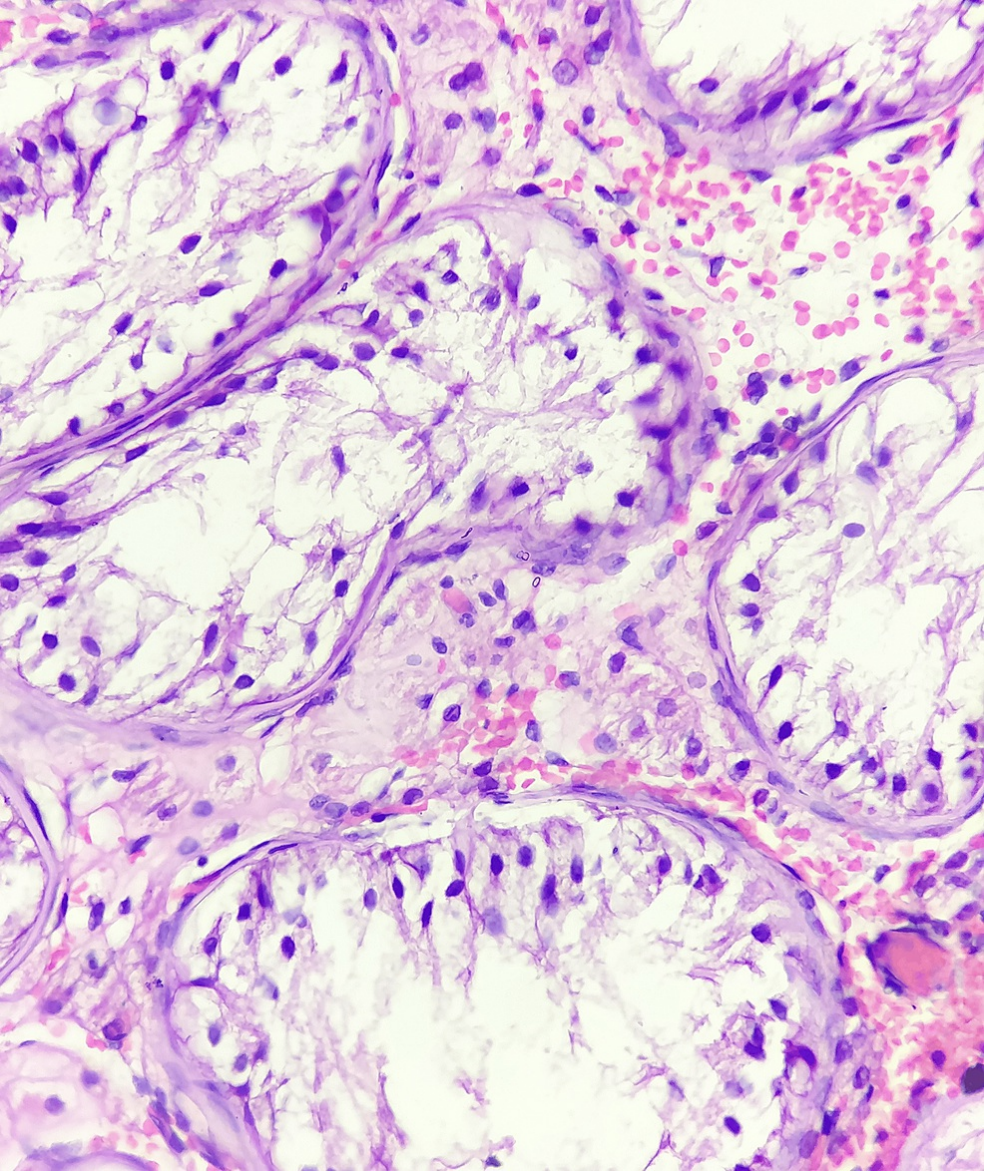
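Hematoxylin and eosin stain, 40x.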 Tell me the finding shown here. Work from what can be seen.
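Tubules hold only one or two rows of nuclei along their walls. Tubule interiors are filled with pale, wispy, vacuolated cytoplasm rather than layered cells. No mature sperm or layered spermatogenic cells are seen inside the tubules. Tubule walls form thick pale violet bands. The answer: atrophic testis.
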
